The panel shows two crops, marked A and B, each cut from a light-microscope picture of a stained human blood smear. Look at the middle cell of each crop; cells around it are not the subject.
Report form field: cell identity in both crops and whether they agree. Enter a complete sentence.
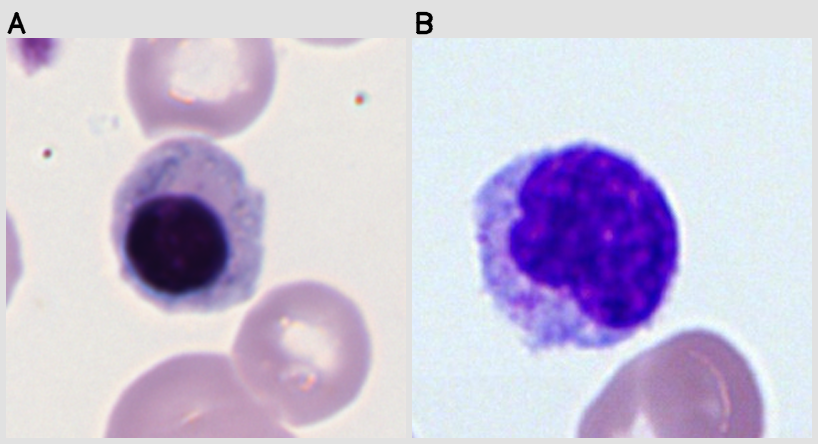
No, an erythroblast is shown in crop A and a lymphocyte in crop B.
